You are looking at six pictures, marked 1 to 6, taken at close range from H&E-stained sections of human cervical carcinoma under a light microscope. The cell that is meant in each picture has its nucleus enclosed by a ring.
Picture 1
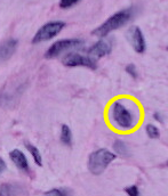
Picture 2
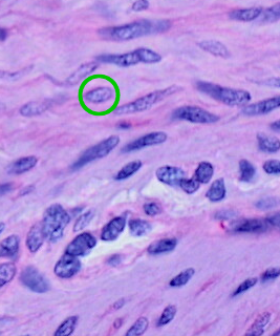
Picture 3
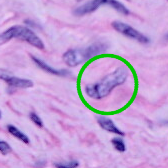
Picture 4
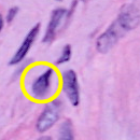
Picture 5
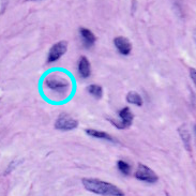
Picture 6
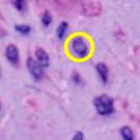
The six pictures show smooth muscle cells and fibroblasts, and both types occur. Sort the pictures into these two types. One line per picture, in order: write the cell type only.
fibroblast
smooth muscle cell
smooth muscle cell
fibroblast
fibroblast
smooth muscle cell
